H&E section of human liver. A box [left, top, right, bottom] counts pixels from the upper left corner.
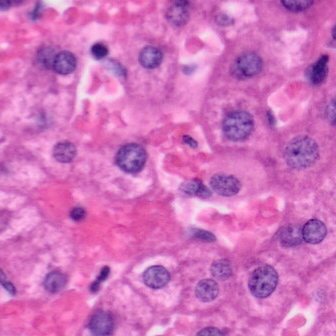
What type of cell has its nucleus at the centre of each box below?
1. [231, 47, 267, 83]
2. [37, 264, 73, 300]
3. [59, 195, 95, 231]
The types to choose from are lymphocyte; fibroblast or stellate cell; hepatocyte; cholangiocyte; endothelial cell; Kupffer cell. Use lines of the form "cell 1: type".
cell 1: hepatocyte
cell 2: hepatocyte
cell 3: lymphocyte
